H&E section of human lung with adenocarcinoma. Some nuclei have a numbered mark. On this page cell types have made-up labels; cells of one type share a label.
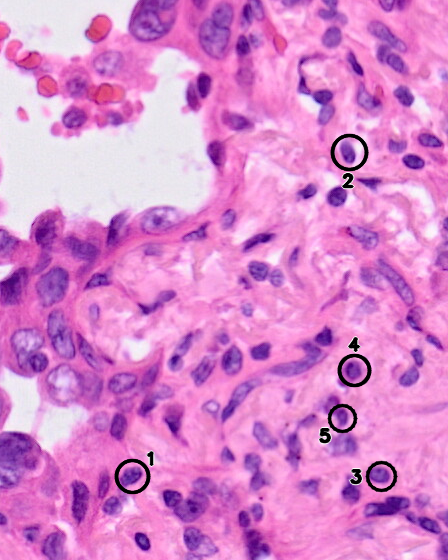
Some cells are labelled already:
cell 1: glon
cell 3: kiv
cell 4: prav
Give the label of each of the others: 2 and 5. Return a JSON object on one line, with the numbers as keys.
{"2": "glon", "5": "prav"}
